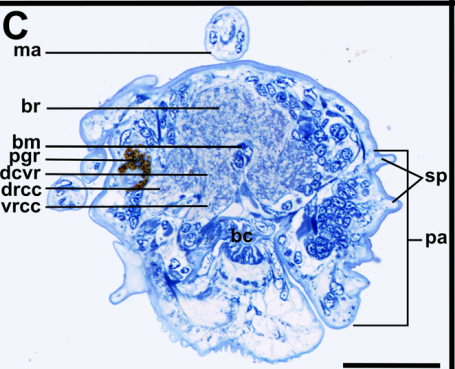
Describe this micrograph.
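Slightly oblique cross section through the head of a small worm, stained blue, with a large central mass of brain tissue of fine fibrous texture. Rounded nuclei of nerve cell bodies surround this fibrous mass at its edges. A cluster of dark brown granules lies at one side of the brain. Below the brain lies a cavity lined by a folded epithelium, and small papillae project from the body surface.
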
